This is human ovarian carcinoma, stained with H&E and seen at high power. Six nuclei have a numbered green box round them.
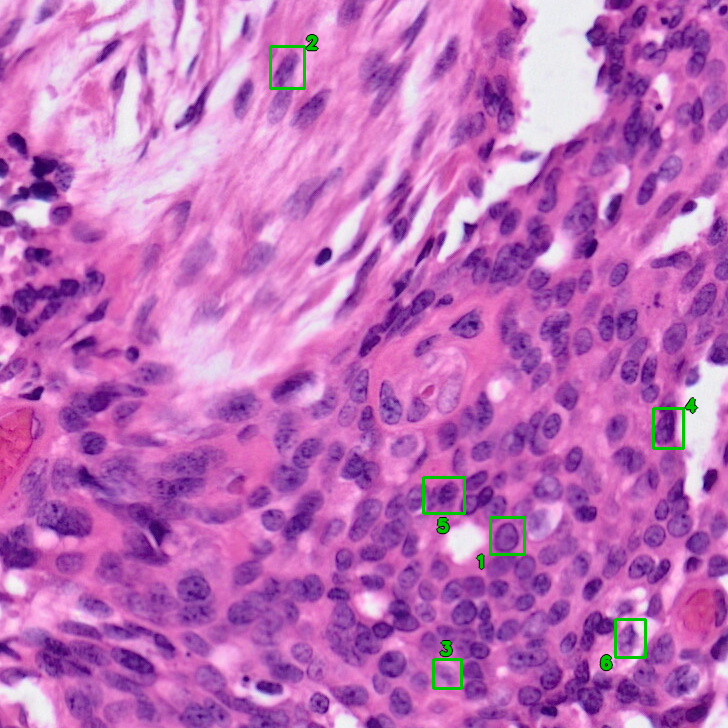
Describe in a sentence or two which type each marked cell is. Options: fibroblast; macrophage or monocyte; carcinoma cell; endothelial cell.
Cell 1 is a carcinoma cell, cell 2 is a fibroblast, cell 3 is a carcinoma cell, cell 4 is a carcinoma cell, cell 5 is a carcinoma cell and cell 6 is a macrophage or monocyte.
